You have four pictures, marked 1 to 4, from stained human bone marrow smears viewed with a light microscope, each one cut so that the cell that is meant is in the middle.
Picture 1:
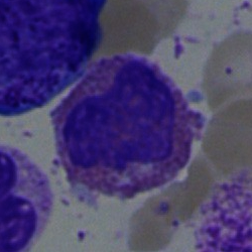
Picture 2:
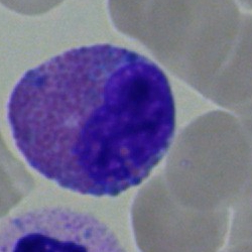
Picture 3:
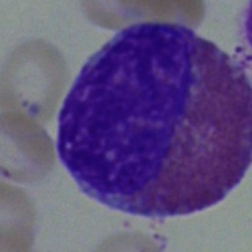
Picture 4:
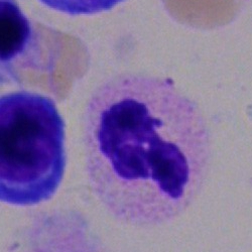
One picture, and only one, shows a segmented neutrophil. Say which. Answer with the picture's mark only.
4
